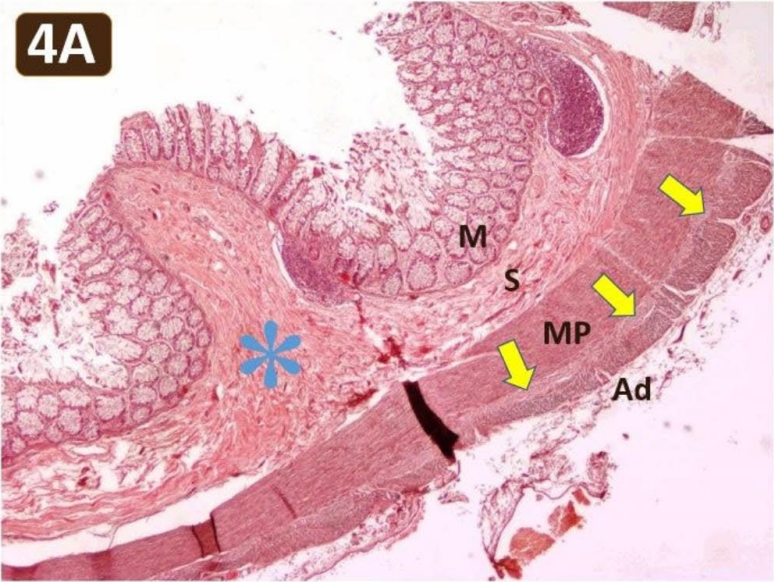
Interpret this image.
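This is a low-power view of the full colonic wall, with mucosa, submucosa, a thick muscle coat and a thin outer layer. The mucosa is lined by closely packed tubular crypts, and dense purple clusters of lymphoid cells sit at its base. Beneath it the submucosa is broad and filled with pink, wavy fibrous tissue, appearing thickened in one region, consistent with fibrosis. A thin loose adventitia covers the outer surface.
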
